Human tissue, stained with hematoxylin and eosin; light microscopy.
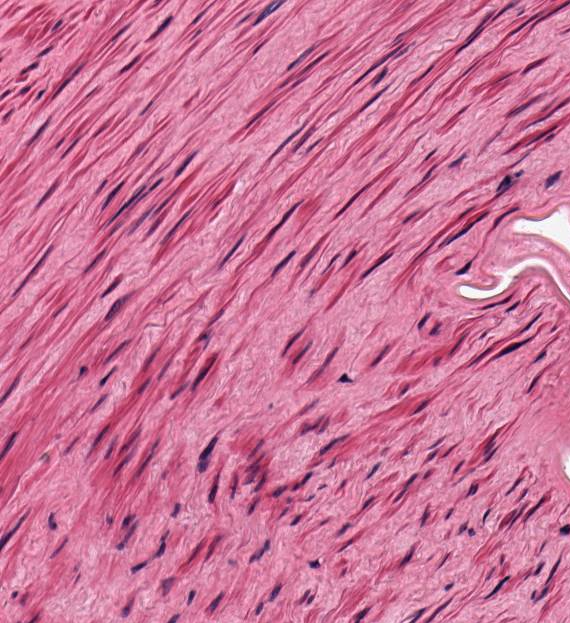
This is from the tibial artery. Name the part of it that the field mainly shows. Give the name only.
tunica media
